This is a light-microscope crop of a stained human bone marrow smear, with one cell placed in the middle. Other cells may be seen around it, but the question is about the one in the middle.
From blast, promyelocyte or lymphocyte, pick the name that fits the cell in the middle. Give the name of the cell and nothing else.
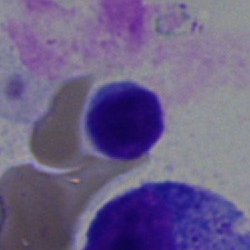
lymphocyte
